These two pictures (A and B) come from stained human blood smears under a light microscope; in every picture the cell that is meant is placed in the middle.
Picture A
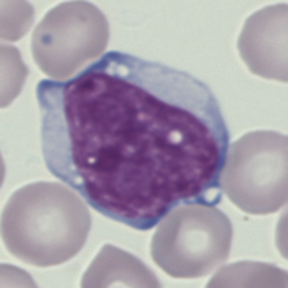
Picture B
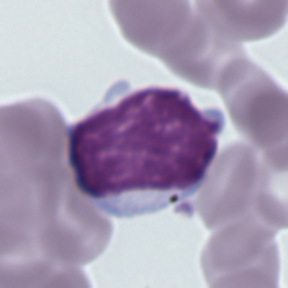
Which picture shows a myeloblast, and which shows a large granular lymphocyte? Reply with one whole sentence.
Picture A shows a myeloblast and picture B shows a large granular lymphocyte.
